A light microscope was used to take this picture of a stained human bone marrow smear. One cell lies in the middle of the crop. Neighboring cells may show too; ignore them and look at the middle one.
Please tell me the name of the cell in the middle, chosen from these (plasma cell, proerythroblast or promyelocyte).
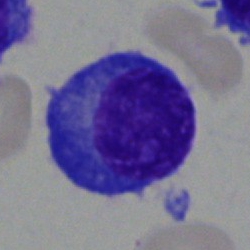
plasma cell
